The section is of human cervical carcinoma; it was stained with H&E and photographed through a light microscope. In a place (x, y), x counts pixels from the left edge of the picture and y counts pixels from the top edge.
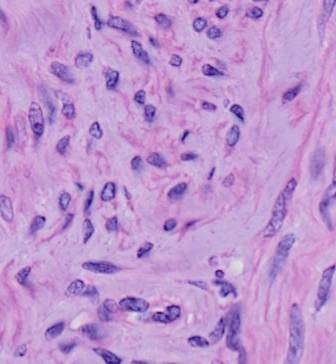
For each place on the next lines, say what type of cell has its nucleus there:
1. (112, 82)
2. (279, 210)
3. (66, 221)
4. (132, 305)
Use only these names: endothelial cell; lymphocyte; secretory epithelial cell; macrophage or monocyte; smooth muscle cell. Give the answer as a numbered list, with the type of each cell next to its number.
1. smooth muscle cell
2. smooth muscle cell
3. smooth muscle cell
4. endothelial cell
